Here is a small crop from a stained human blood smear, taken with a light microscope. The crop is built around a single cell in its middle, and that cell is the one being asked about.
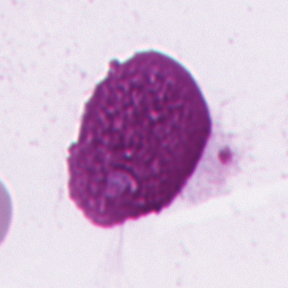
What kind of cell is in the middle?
smudge cell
